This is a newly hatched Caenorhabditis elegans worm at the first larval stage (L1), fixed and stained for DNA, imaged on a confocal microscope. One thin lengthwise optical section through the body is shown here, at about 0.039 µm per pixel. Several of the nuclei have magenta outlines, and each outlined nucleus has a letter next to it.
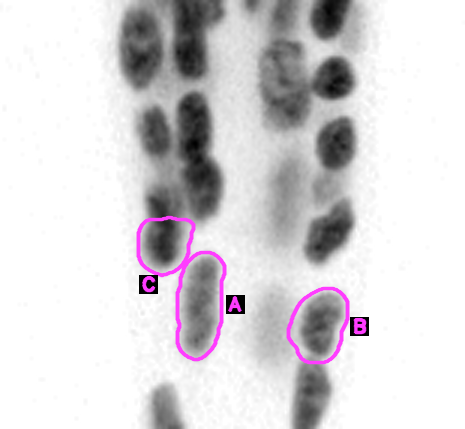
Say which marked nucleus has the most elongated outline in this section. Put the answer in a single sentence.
Of the marked nuclei, A is the most stretched out.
